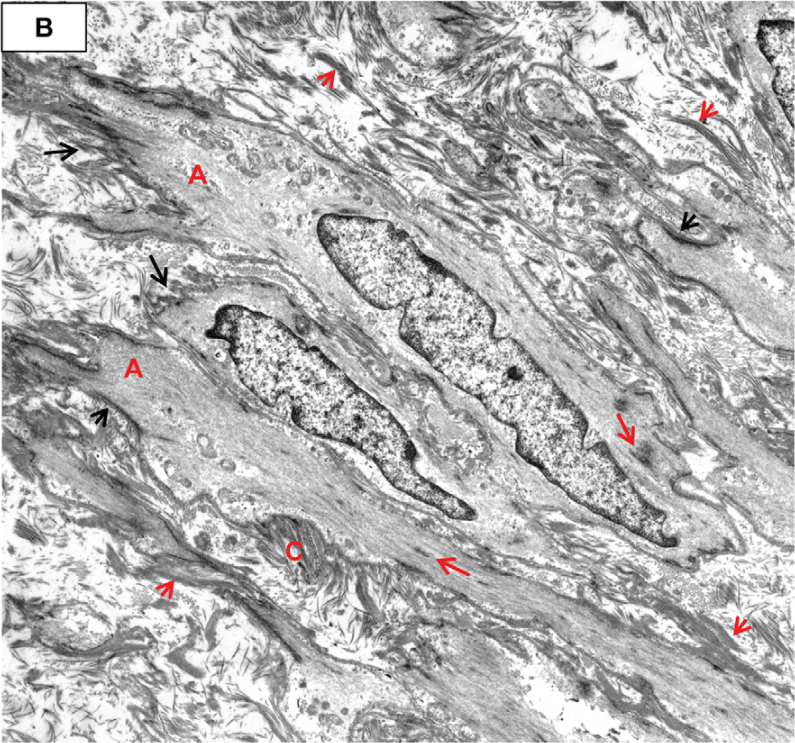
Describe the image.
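Elongated smooth muscle cells cut lengthwise run diagonally, each with a long nucleus whose outline is jagged and serrated. The cytoplasm is rich in fine actin filaments with dark dense bodies, and dark dense plaques sit at the cell edges. Around the cells lies a loose extracellular space crowded with dark banded collagen fibrils and flocculent material.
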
